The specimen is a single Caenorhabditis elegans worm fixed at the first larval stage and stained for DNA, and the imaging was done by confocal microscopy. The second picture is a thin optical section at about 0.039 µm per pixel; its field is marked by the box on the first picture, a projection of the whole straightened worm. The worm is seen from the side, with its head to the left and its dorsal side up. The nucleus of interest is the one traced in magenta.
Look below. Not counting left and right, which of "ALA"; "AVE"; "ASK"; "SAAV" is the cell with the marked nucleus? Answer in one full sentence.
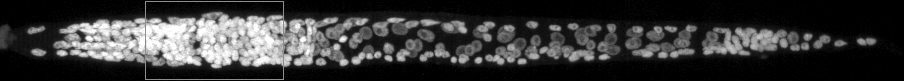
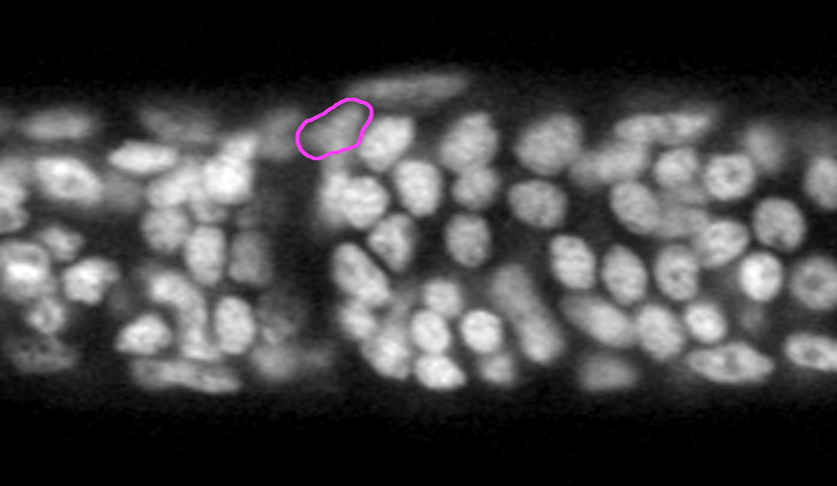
It belongs to ALA, a neuron.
